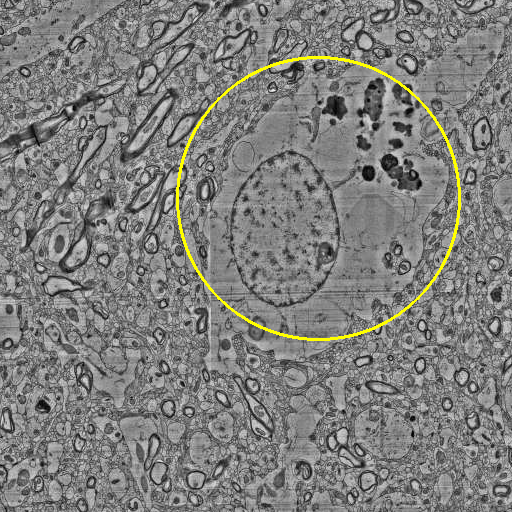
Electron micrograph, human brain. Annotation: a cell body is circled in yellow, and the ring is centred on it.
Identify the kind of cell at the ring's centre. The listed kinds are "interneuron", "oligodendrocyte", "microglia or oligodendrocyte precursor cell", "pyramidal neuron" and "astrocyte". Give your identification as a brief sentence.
The circled cell body is that of an astrocyte.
